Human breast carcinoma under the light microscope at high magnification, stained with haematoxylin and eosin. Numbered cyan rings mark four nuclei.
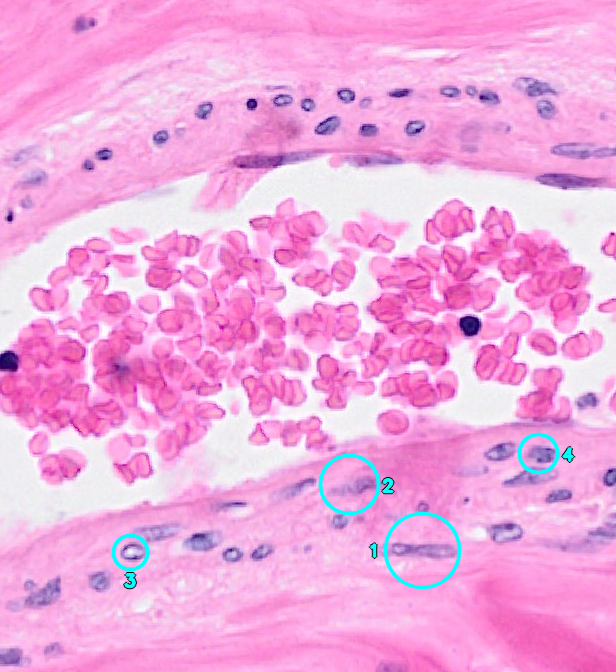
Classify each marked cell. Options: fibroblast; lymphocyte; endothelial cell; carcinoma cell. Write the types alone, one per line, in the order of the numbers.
fibroblast
endothelial cell
endothelial cell
endothelial cell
